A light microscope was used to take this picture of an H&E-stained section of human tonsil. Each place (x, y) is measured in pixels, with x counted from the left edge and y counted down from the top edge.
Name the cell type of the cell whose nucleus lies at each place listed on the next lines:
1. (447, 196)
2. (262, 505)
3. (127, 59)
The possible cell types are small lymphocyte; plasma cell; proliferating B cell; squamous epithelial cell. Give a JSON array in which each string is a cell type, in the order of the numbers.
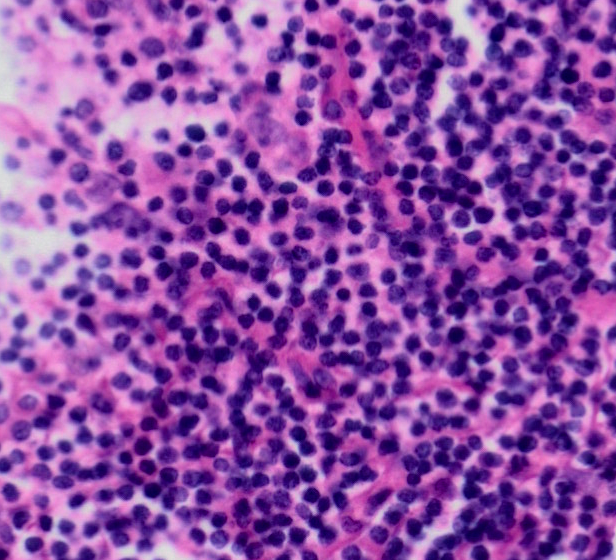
["small lymphocyte", "small lymphocyte", "proliferating B cell"]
